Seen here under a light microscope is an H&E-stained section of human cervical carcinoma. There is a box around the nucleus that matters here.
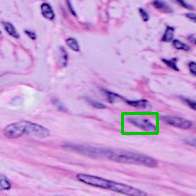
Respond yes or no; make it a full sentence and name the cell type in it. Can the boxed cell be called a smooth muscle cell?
Yes, the boxed cell is recognized as a smooth muscle cell in this section.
